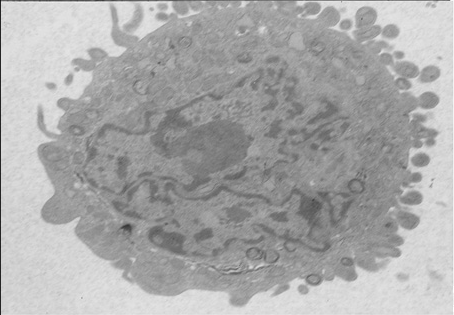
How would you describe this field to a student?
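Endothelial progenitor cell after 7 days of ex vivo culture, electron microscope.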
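The cell is roughly round to oval, and its surface is covered with numerous finger-like and bulbous projections of the plasma membrane. The nucleus is large and deeply indented, with an irregular, folded outline, and it contains patches of dense chromatin along with a prominent dark nucleolus. The surrounding cytoplasm is moderately electron-dense. It contains scattered small vesicles and vacuoles, many lying near the cell periphery. No neighbouring cells are in contact with this one.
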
